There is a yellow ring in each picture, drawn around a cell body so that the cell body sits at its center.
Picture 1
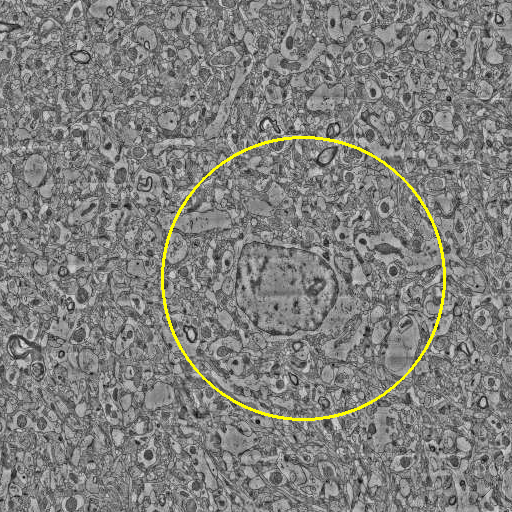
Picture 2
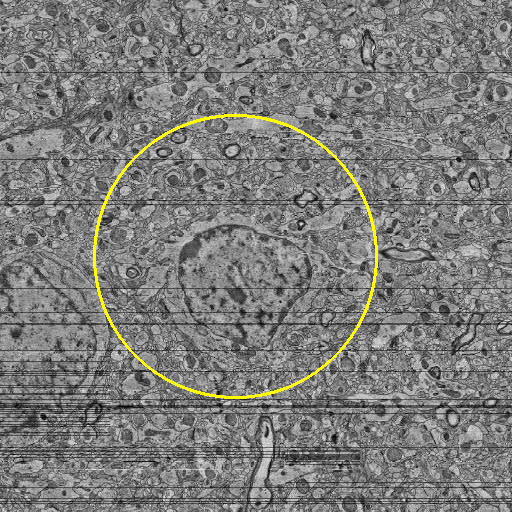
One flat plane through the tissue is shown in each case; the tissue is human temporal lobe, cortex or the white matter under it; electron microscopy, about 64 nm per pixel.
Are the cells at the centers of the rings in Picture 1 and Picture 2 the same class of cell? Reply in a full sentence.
Yes, the two cells are the same class of cell.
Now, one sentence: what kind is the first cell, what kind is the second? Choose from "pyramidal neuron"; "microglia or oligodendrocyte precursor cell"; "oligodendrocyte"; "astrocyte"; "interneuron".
The first and the second cell are each a microglial cell or oligodendrocyte precursor cell.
